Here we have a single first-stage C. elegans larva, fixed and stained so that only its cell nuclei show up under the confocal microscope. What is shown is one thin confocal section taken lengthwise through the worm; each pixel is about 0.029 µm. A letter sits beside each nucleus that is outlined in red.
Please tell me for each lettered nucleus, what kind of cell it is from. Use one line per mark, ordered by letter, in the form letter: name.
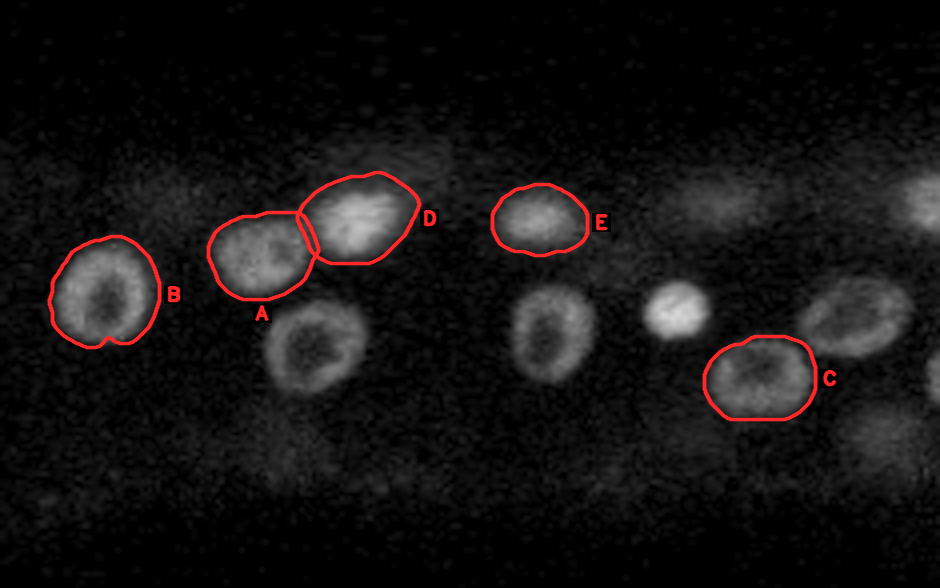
A: P cell (ventral epidermal blast cell)
B: seam cell
C: hypodermal cell (hyp)
D: coelomocyte
E: coelomocyte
